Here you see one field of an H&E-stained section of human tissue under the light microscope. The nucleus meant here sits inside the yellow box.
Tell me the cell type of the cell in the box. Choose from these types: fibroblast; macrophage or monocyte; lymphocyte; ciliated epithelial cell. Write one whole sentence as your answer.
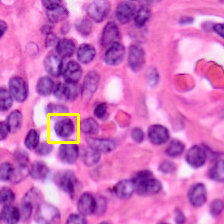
The cell meant here is a lymphocyte.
